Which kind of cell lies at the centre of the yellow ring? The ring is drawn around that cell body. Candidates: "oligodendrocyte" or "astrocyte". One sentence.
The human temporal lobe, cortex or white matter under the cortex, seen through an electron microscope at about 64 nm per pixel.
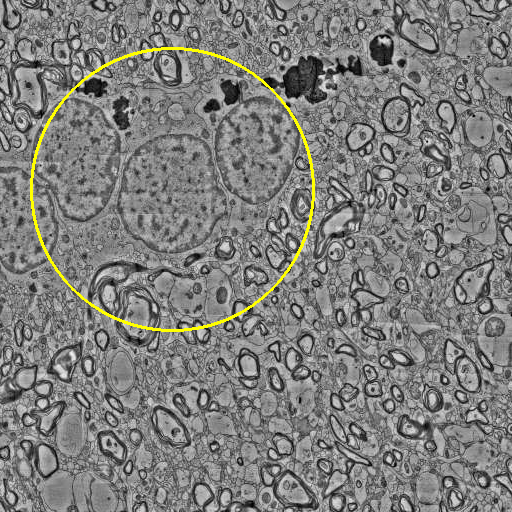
Lying at the centre of the ring is an oligodendrocyte.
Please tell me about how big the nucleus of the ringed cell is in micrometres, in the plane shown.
Approximately 8 by 6 micrometers in this plane.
